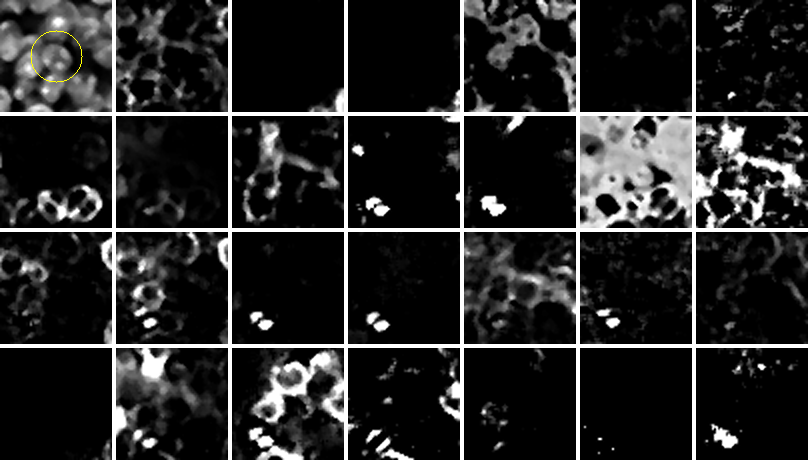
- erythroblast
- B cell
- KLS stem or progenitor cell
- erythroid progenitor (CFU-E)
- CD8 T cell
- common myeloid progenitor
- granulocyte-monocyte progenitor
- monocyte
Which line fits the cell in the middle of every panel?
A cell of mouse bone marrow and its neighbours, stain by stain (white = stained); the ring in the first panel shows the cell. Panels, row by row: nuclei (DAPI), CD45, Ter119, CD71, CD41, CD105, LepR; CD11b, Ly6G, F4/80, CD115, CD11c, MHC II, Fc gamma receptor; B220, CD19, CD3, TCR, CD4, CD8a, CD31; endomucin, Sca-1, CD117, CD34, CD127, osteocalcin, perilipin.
granulocyte-monocyte progenitor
